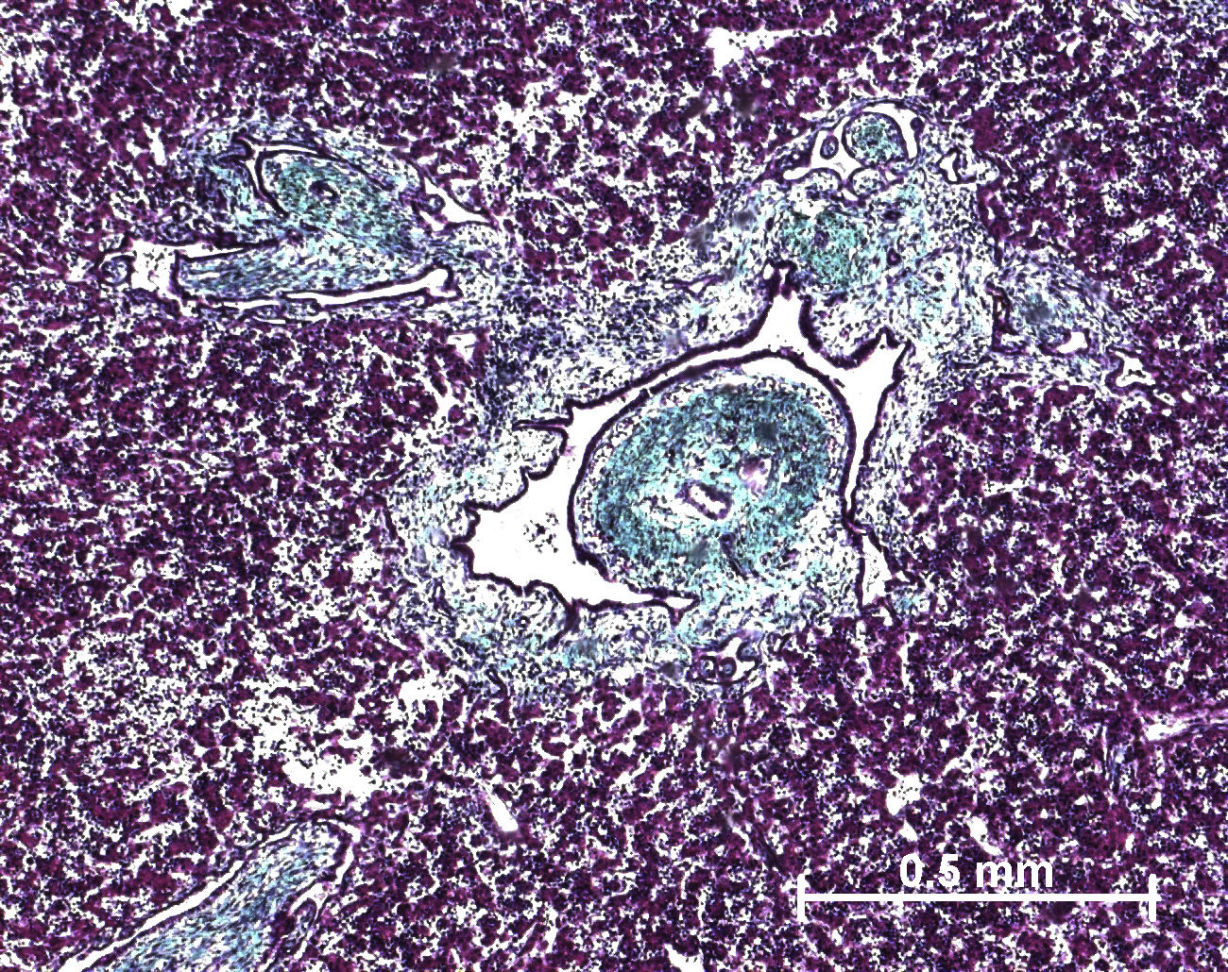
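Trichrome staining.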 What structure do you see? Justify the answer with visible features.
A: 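Numerous abnormal bile ducts. A large, irregular, branching lumen with jagged outlines encircles a central blue-green core. Several other slit-like or irregular lumens lie within the fibrous areas.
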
